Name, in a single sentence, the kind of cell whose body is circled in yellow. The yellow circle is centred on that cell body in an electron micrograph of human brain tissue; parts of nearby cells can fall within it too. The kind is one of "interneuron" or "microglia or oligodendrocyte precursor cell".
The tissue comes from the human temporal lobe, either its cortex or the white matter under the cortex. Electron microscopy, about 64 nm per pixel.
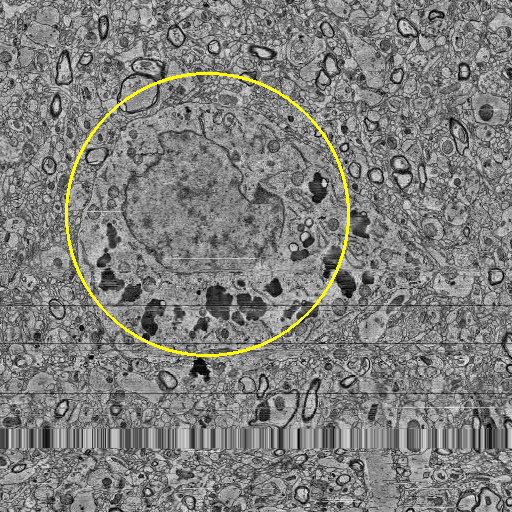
The circled cell body belongs to an interneuron.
